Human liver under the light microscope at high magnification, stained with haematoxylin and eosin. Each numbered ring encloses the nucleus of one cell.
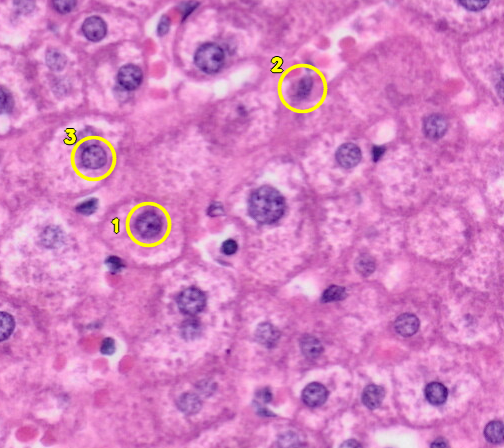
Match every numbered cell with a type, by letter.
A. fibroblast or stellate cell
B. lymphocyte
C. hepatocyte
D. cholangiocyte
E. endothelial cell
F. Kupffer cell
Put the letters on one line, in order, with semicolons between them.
C; F; C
